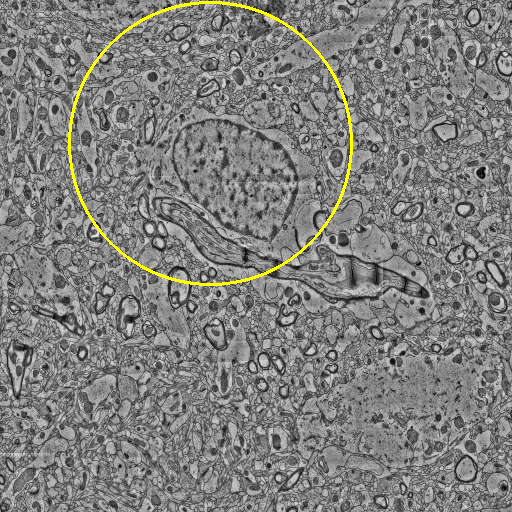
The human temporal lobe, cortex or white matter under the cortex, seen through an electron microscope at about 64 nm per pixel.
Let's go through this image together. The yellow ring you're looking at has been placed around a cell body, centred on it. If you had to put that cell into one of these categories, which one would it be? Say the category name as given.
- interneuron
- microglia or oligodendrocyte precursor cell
microglia or oligodendrocyte precursor cell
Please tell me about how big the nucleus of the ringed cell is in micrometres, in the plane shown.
The nucleus measures about 9 by 6 micrometres in this plane.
